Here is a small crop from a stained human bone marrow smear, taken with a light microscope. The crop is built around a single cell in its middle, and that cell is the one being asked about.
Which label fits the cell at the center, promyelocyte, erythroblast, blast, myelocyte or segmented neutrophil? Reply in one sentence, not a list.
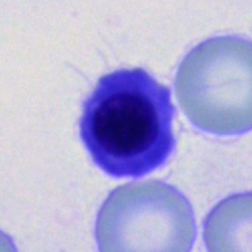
The cell at the central position in this crop is an erythroblast.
